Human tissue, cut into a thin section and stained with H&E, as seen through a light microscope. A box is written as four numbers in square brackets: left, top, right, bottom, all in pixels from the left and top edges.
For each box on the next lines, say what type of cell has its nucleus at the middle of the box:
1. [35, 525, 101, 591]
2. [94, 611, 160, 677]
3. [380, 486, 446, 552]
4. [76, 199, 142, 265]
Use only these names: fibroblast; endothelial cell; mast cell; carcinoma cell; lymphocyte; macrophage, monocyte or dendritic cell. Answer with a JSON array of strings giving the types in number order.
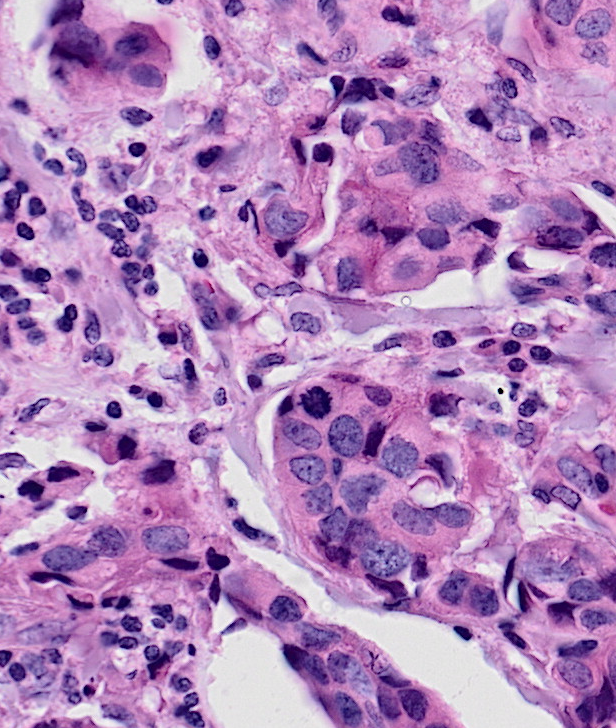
["carcinoma cell", "lymphocyte", "carcinoma cell", "lymphocyte"]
